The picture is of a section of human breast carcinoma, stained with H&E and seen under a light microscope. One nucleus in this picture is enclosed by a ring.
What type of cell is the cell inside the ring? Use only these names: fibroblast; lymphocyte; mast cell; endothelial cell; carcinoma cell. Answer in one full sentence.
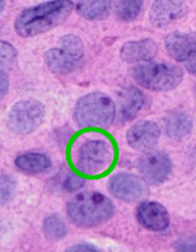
In the stained section, the cell inside the ring is a carcinoma cell.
